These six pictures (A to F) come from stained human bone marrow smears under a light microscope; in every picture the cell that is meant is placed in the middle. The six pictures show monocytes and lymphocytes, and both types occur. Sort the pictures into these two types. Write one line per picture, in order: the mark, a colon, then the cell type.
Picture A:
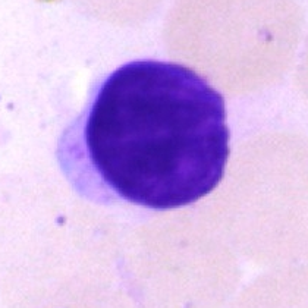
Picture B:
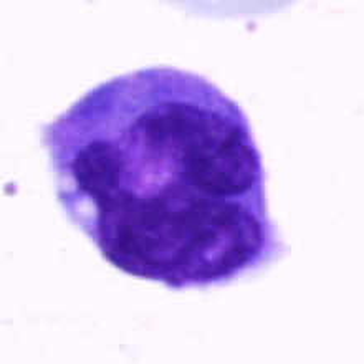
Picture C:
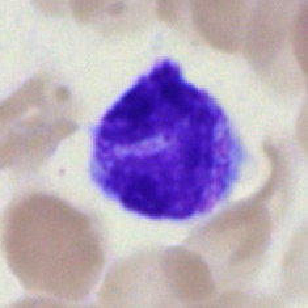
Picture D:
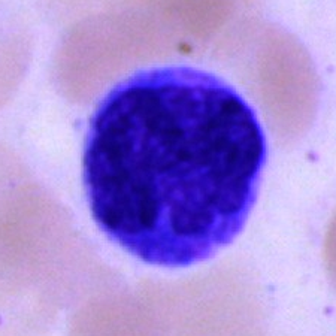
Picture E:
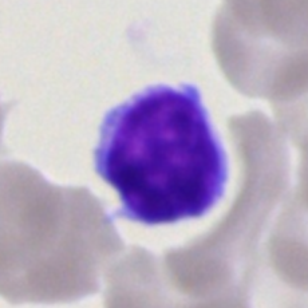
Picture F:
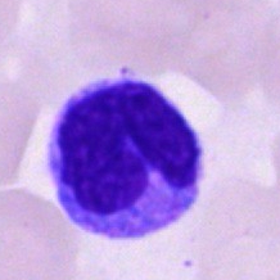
A: lymphocyte
B: monocyte
C: monocyte
D: monocyte
E: lymphocyte
F: monocyte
